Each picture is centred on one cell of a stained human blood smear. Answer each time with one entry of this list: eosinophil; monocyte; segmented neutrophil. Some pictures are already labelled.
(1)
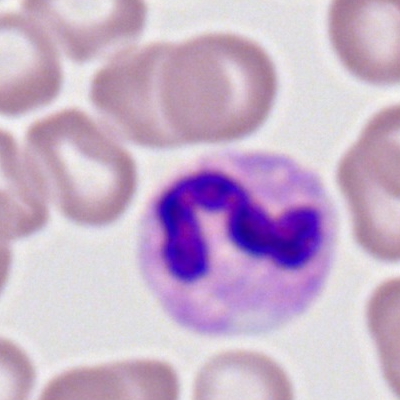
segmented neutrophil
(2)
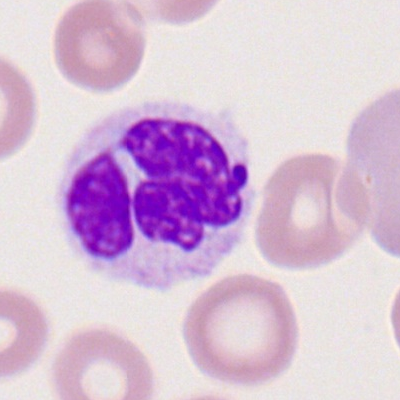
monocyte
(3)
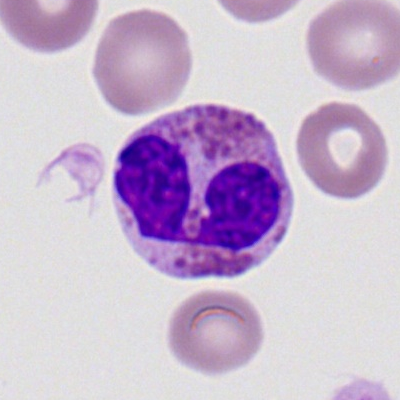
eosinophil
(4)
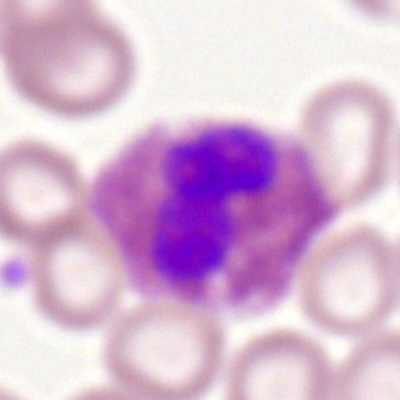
eosinophil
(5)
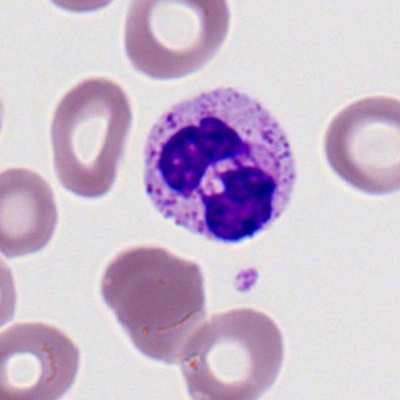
segmented neutrophil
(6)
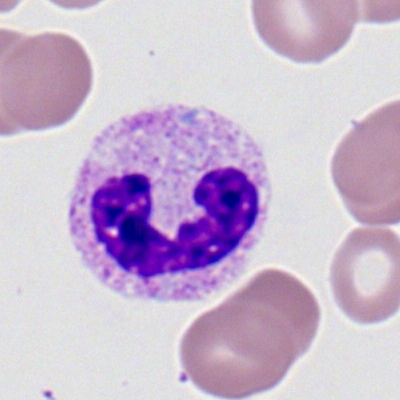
segmented neutrophil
